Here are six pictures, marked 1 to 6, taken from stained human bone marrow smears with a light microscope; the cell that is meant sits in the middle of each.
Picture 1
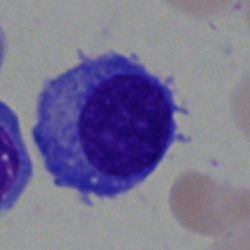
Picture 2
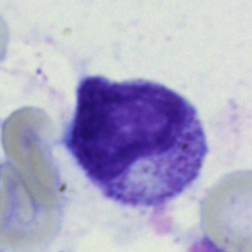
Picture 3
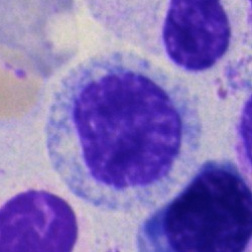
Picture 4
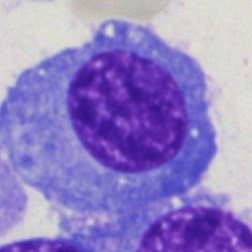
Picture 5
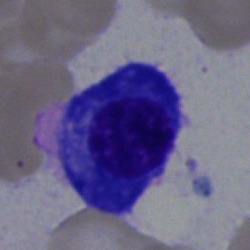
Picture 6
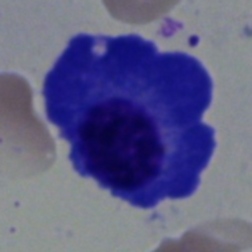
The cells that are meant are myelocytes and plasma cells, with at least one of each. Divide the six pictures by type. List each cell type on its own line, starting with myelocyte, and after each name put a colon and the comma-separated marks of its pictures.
myelocyte: 2, 3
plasma cell: 1, 4, 5, 6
